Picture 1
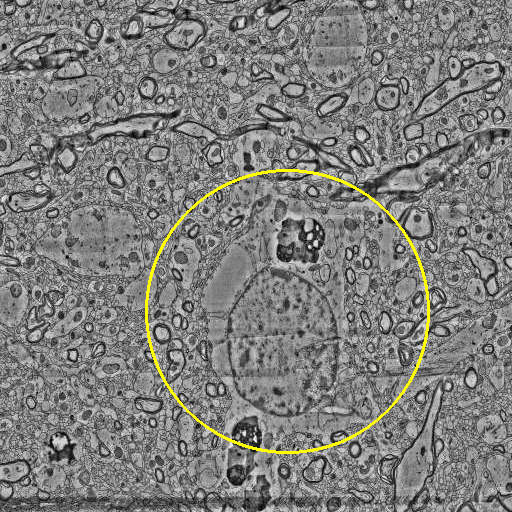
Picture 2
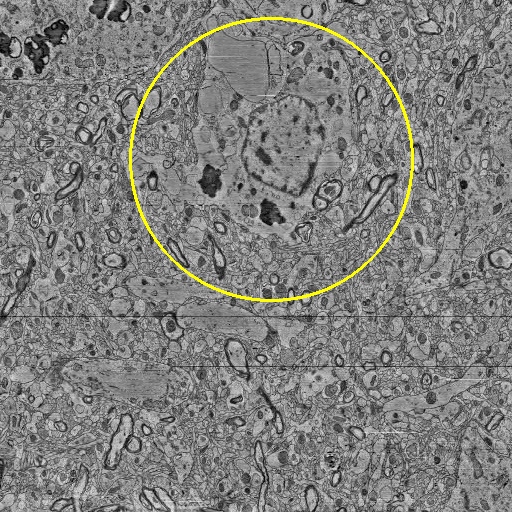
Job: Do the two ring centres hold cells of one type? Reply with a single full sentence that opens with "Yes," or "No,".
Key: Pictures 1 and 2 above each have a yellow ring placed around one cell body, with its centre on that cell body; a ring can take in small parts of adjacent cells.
Yes, the cells at the two ring centres are of one single type.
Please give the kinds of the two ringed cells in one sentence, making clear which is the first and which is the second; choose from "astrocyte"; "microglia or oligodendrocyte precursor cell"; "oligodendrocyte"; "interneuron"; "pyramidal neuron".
The cell at the ring centre is an astrocyte in both pictures.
